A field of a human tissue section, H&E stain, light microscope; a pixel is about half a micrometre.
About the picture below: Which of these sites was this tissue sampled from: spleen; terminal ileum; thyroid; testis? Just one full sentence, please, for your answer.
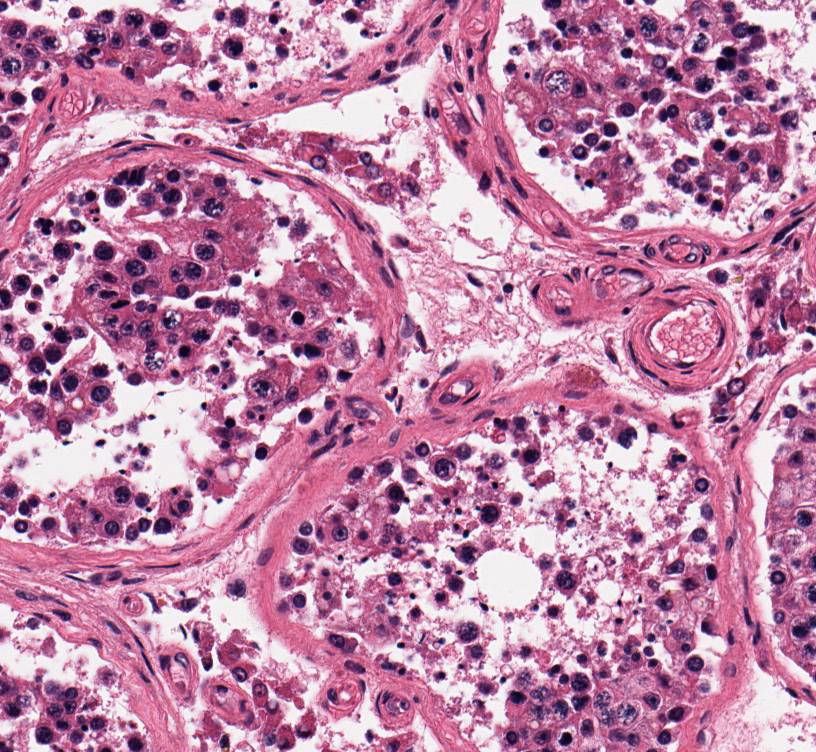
The tissue sectioned for this slide came from the testis.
